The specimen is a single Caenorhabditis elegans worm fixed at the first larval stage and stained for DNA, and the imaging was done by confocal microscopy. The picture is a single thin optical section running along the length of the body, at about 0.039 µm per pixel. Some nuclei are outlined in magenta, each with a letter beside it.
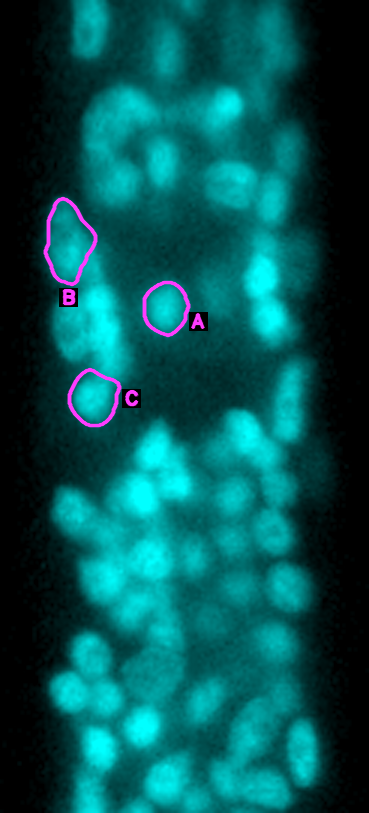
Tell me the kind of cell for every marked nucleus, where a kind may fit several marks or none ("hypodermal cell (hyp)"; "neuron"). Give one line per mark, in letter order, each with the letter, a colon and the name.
A: neuron
B: hypodermal cell (hyp)
C: neuron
